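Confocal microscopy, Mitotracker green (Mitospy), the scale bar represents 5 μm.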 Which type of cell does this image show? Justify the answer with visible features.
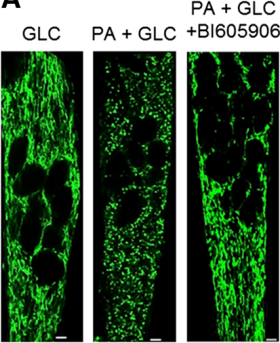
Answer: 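The cells are long and elongated. Several round dark nuclear spaces lie within one cell. So: myotubes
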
